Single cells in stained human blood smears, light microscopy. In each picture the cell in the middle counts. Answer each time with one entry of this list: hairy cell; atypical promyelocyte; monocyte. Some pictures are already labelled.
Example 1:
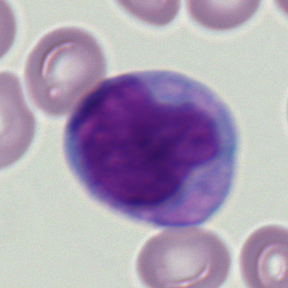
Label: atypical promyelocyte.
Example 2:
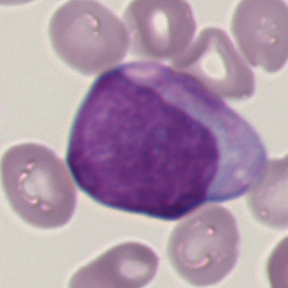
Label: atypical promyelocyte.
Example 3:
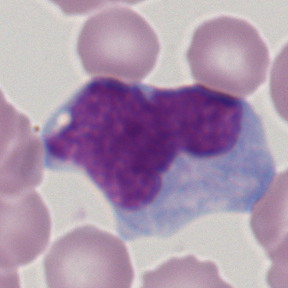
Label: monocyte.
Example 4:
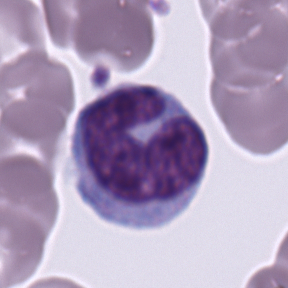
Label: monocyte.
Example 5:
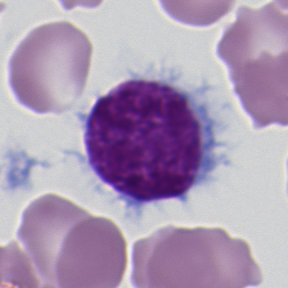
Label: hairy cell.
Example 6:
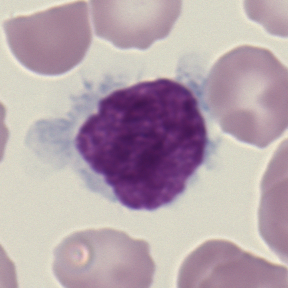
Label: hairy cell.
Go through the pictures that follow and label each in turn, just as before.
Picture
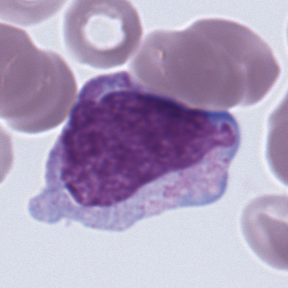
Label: atypical promyelocyte.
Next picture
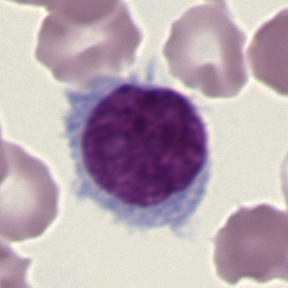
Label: hairy cell.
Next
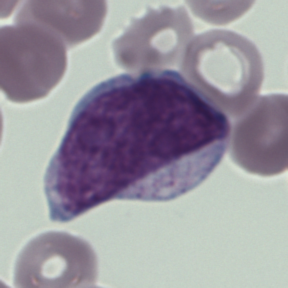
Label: atypical promyelocyte.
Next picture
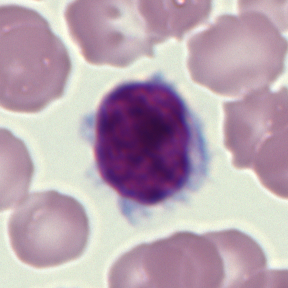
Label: hairy cell.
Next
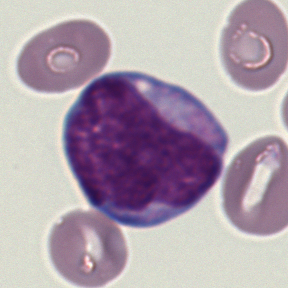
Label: atypical promyelocyte.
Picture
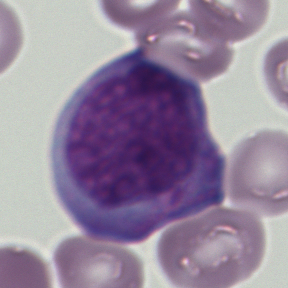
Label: atypical promyelocyte.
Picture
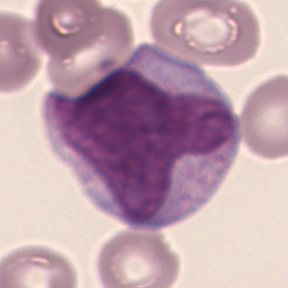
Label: atypical promyelocyte.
